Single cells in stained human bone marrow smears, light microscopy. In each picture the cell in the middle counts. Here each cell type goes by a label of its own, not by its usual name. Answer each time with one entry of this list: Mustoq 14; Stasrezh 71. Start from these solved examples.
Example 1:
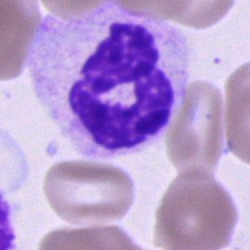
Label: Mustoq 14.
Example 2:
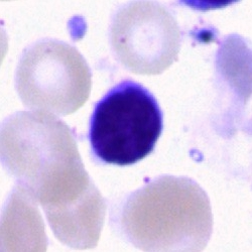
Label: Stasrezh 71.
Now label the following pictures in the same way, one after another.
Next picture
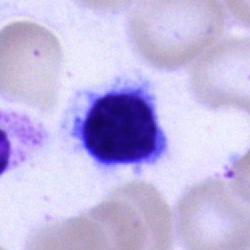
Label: Stasrezh 71.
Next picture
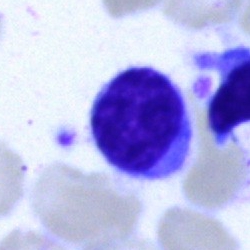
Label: Stasrezh 71.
